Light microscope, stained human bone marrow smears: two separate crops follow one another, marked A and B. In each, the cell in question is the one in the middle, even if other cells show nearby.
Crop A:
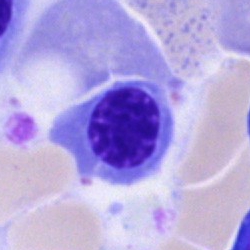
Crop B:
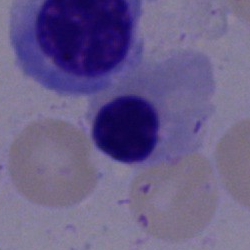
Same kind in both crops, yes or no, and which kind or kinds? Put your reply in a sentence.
Yes, the cells placed at the centre of both crops are erythroblasts.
